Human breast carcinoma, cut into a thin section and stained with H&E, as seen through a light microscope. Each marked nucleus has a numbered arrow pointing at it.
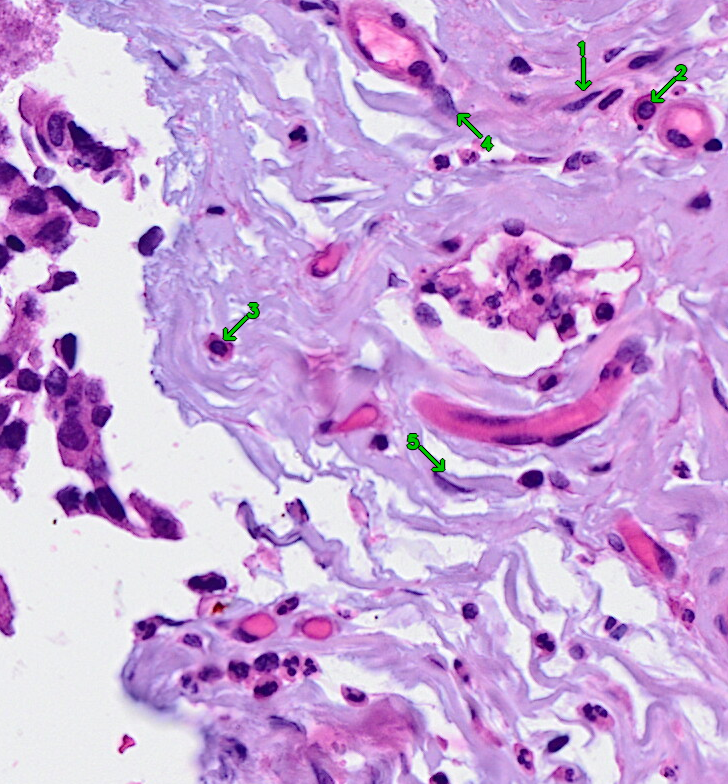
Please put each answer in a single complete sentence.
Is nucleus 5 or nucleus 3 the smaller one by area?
Nucleus 3 covers less area, with nucleus 5 about 1.5 times as large.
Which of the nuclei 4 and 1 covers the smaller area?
It is nucleus 1; nucleus 4 has about 2 times its area.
